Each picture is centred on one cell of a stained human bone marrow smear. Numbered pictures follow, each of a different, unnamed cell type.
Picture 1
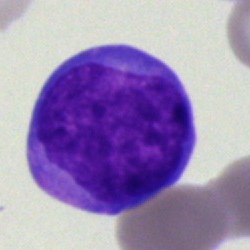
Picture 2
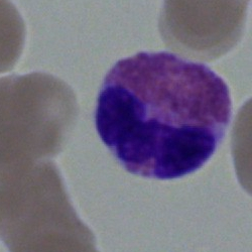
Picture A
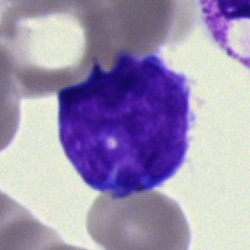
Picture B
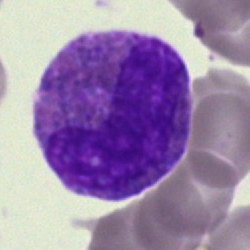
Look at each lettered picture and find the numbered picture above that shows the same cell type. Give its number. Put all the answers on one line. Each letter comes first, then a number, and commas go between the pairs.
A 1, B 2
